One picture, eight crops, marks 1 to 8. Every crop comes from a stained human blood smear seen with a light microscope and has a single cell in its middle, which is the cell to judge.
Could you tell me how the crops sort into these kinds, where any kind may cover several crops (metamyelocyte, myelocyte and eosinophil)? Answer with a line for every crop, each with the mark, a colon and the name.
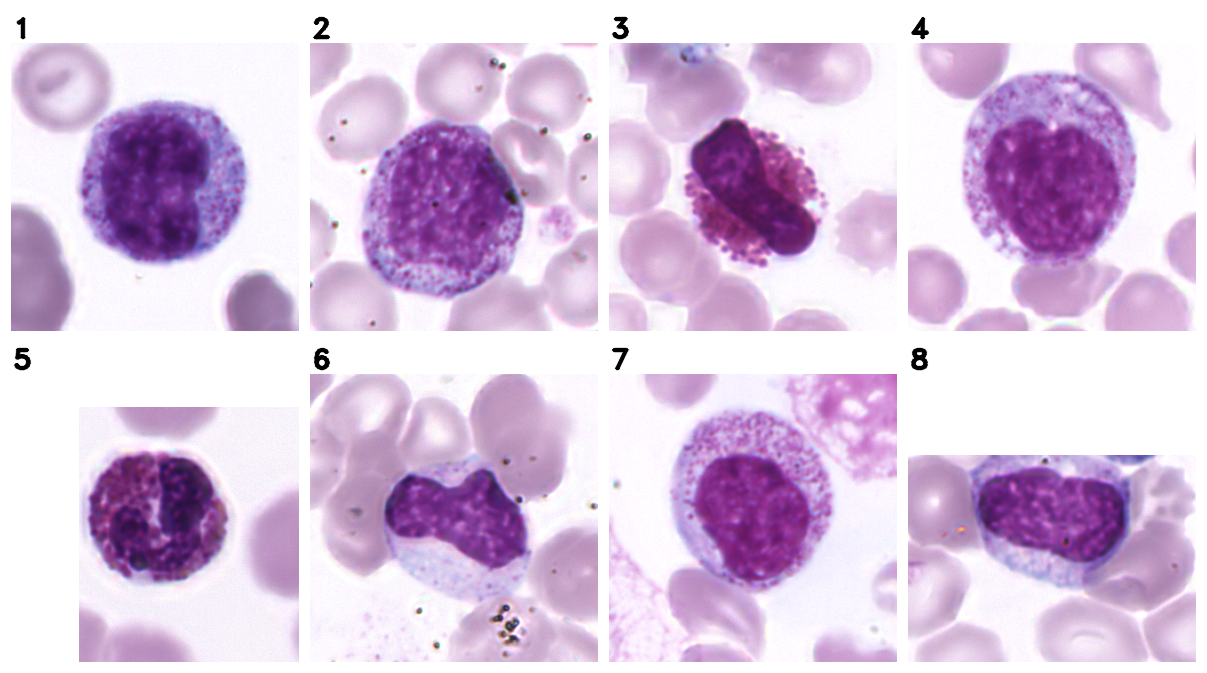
1: myelocyte
2: myelocyte
3: eosinophil
4: myelocyte
5: eosinophil
6: metamyelocyte
7: metamyelocyte
8: metamyelocyte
